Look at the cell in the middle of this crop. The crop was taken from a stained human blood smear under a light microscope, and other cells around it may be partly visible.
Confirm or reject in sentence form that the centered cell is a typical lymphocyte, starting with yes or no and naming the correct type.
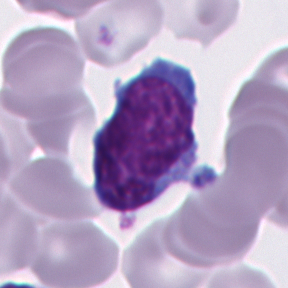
Yes, at the centre of the crop lies a typical lymphocyte.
